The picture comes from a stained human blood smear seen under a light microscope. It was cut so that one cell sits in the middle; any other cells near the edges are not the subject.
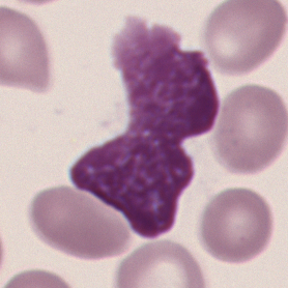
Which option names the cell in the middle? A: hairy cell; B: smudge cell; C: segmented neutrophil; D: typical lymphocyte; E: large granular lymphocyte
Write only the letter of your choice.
B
